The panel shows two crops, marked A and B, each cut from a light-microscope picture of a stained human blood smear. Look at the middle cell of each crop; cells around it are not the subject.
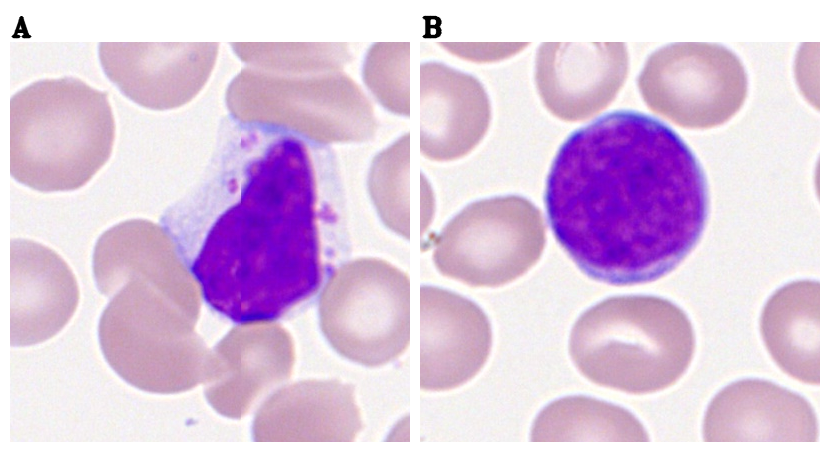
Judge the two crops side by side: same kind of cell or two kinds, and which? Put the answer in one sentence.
No, in crop A the cell is a lymphocyte, and in crop B it is a myeloblast.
